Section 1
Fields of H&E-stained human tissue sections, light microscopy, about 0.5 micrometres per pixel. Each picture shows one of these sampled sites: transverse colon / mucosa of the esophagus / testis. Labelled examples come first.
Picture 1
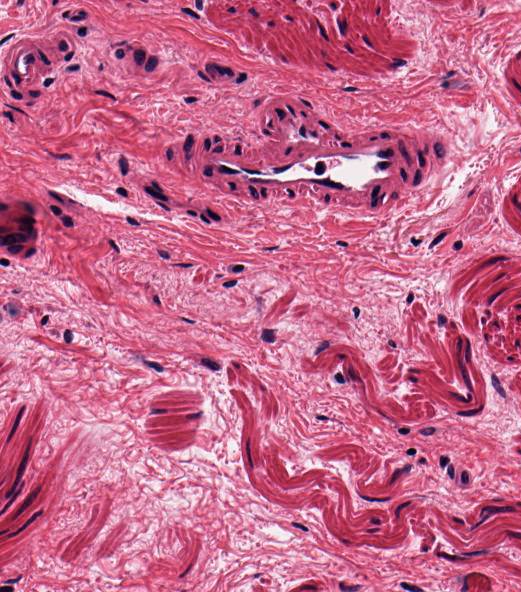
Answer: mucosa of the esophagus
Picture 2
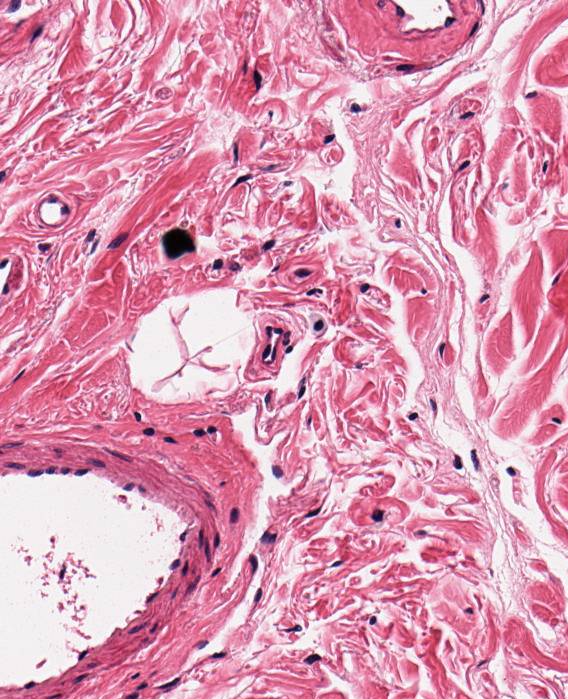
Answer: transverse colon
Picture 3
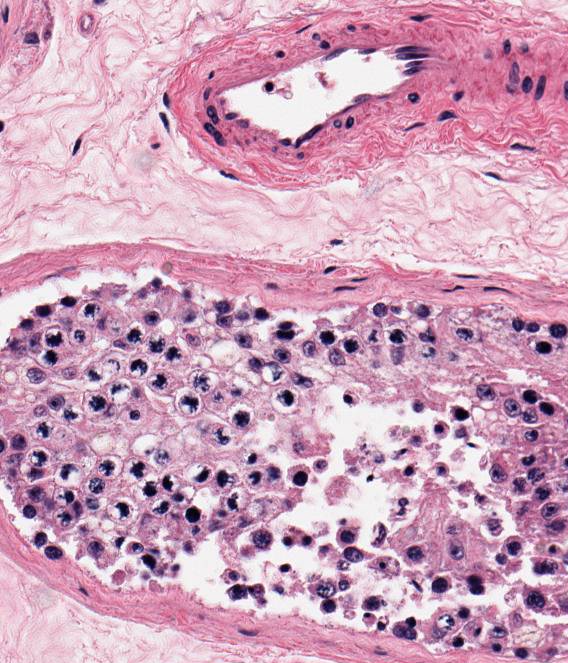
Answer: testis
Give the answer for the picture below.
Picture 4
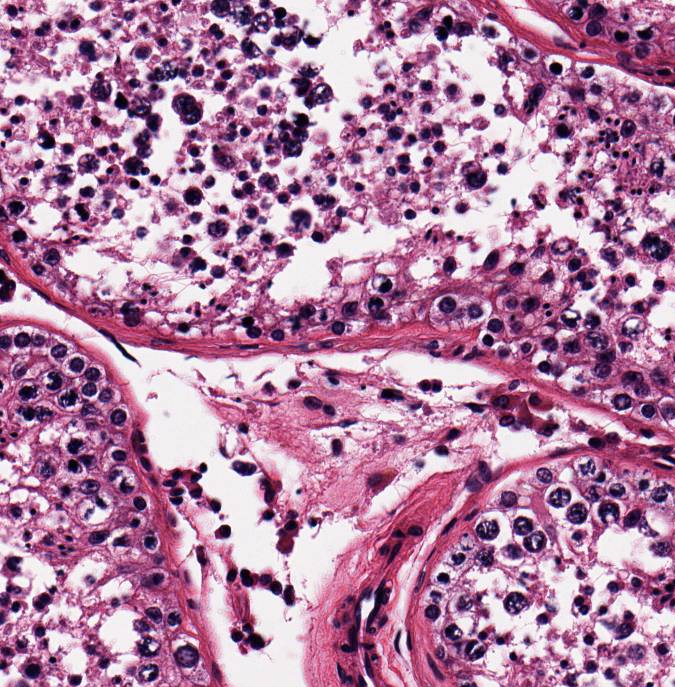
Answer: testis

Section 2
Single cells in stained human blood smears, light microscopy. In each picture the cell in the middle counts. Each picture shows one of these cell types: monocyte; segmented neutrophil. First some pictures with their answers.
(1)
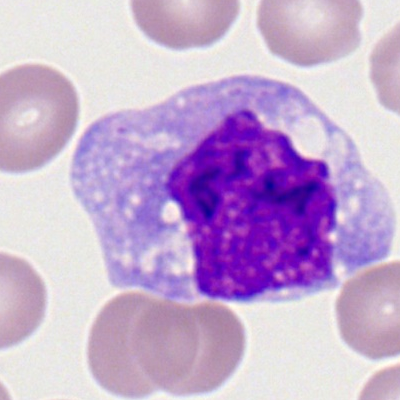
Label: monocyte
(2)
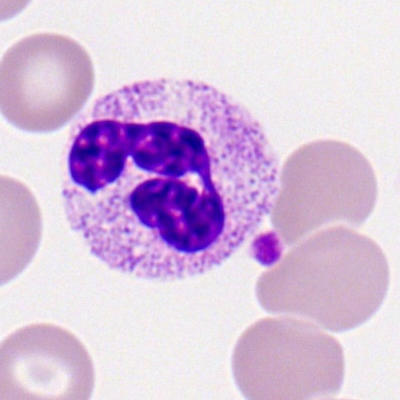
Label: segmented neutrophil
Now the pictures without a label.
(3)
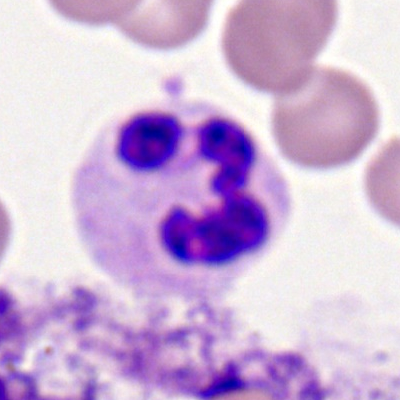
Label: segmented neutrophil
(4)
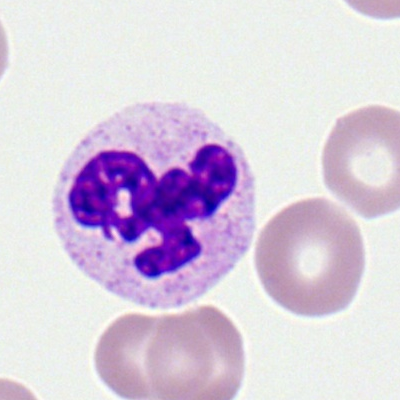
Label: segmented neutrophil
